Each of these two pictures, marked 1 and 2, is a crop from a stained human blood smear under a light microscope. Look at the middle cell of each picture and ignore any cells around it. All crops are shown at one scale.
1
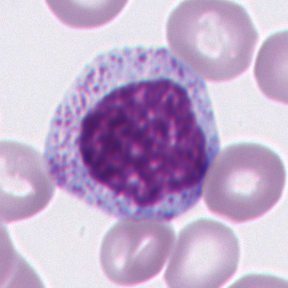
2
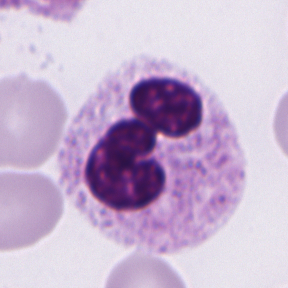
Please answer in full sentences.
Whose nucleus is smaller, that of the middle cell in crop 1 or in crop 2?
It is the nucleus in crop 2; the one in crop 1 has about 1.5 times its area.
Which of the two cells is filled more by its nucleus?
In crop 1 the nucleus takes up the larger part of its cell.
